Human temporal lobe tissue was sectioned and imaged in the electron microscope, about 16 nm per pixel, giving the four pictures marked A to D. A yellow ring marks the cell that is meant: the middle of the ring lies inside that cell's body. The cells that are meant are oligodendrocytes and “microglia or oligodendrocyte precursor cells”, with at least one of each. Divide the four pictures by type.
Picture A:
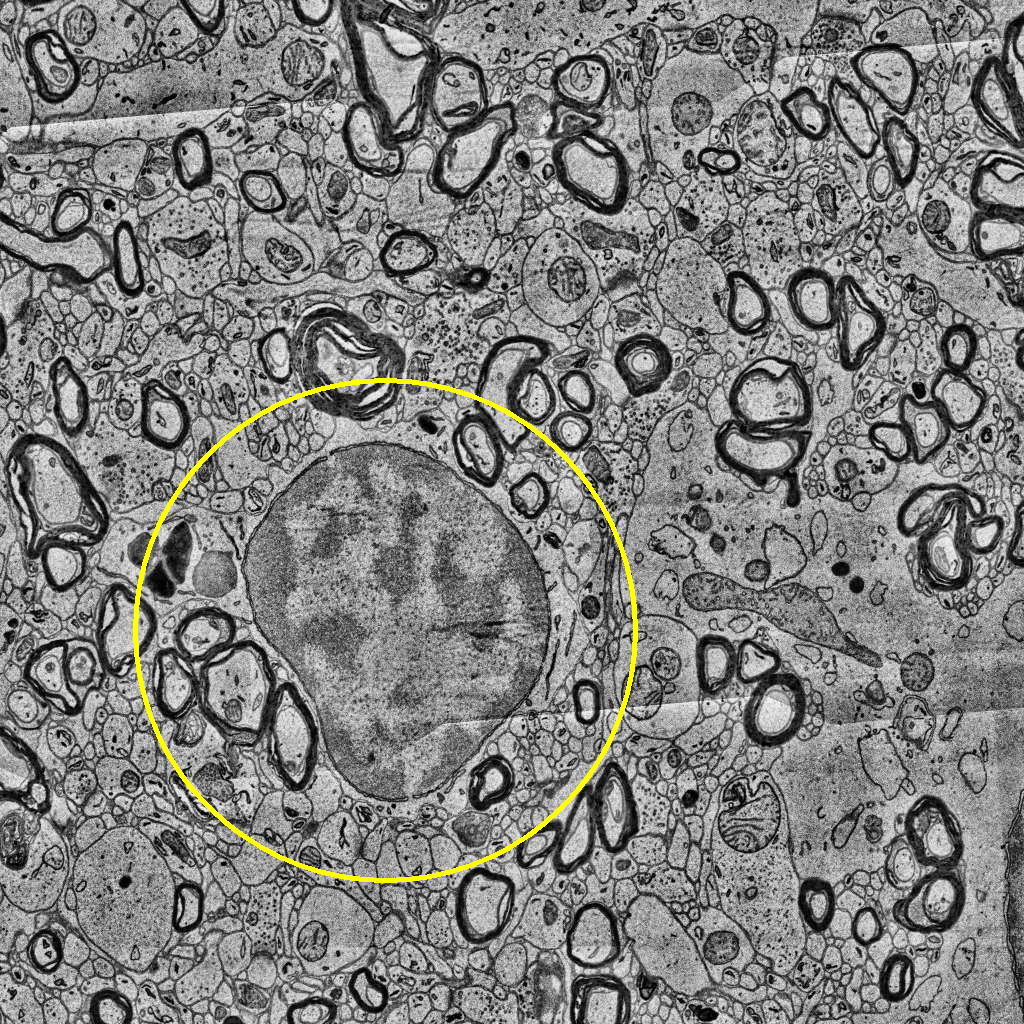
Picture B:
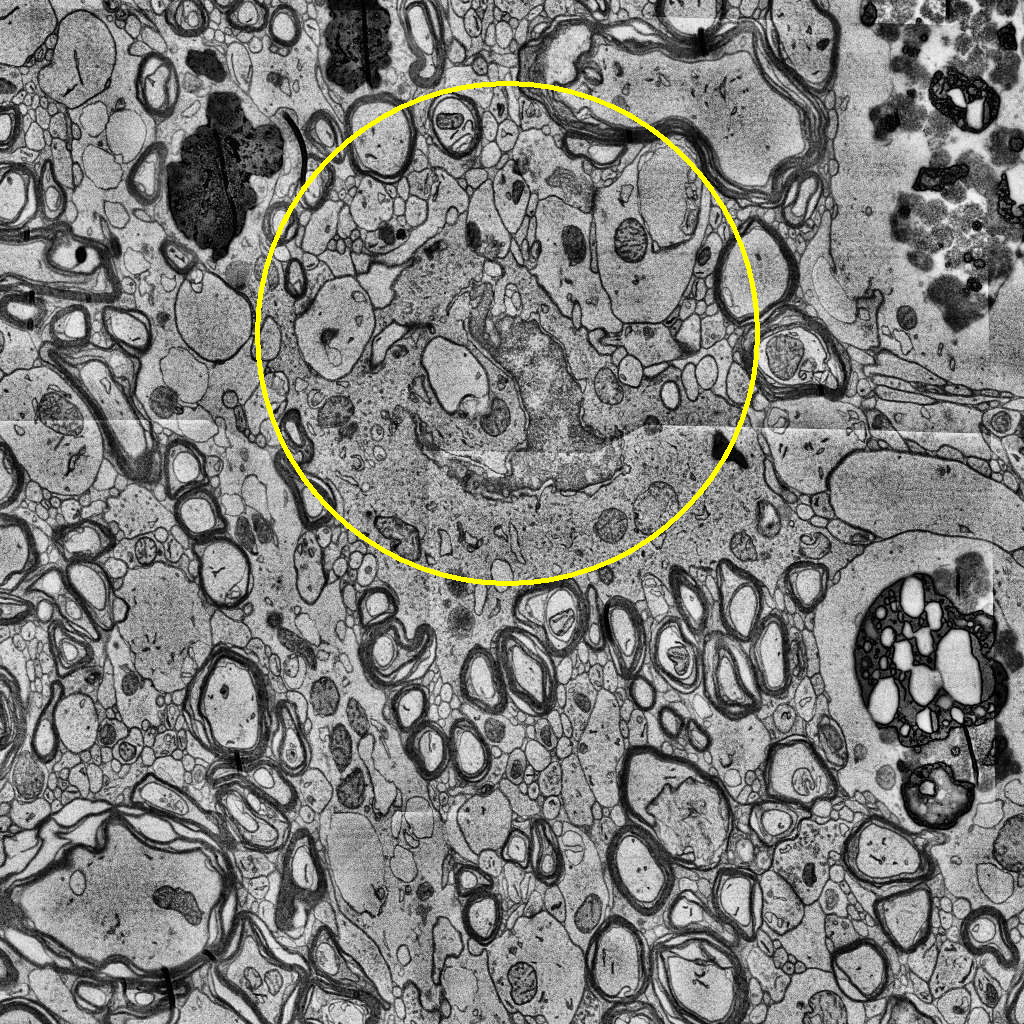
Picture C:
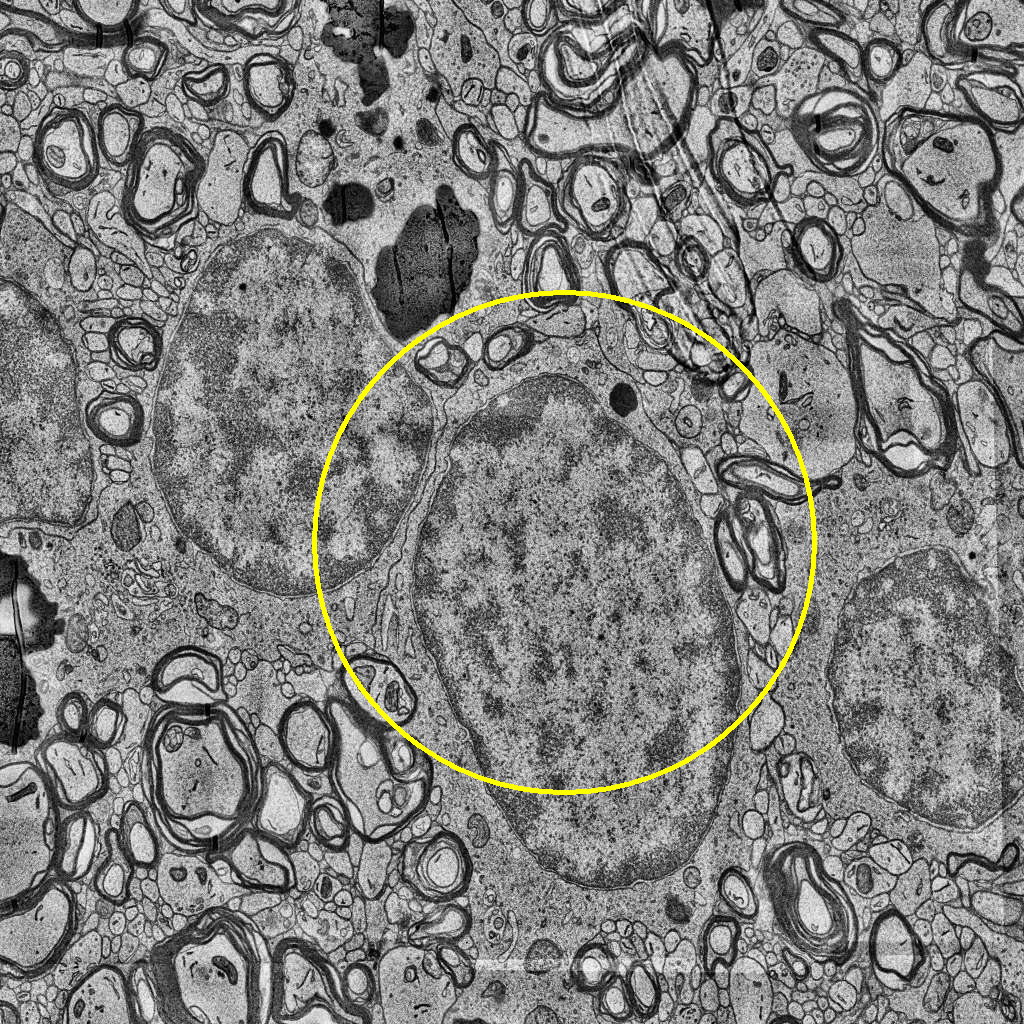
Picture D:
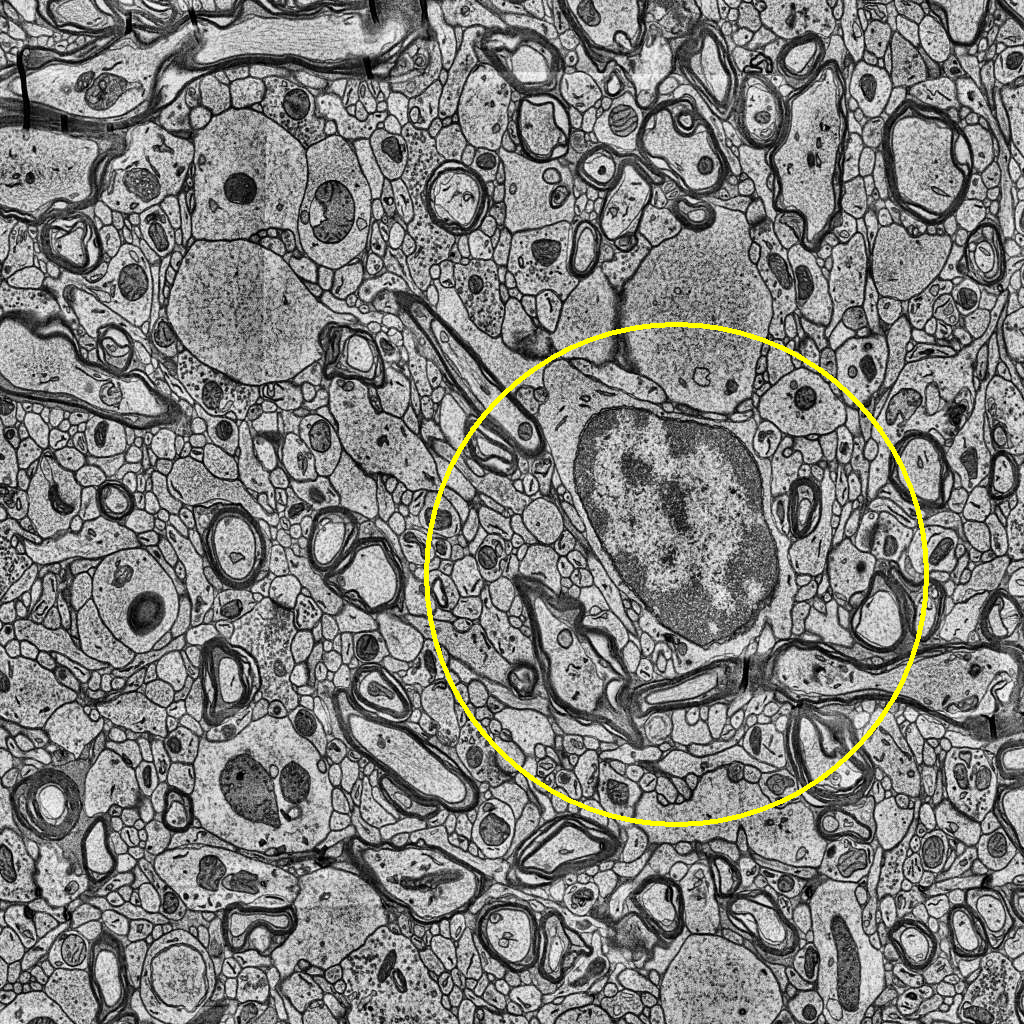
Pictures B and C show oligodendrocytes, while pictures A and D show “microglia or oligodendrocyte precursor cells”.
